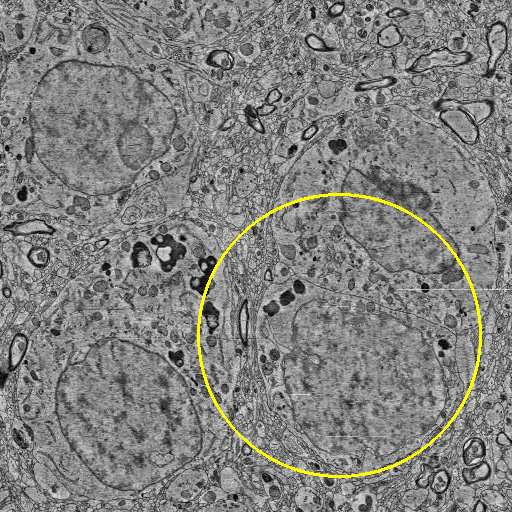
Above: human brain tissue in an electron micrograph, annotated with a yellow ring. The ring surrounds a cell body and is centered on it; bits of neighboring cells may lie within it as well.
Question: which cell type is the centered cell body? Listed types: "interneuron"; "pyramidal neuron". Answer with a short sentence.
The centered cell body is an interneuron.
